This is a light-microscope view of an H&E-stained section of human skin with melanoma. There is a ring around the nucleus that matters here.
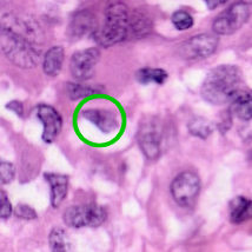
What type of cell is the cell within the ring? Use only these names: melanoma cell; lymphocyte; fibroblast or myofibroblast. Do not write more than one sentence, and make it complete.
The identity of the cell within the ring: it is a melanoma cell.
